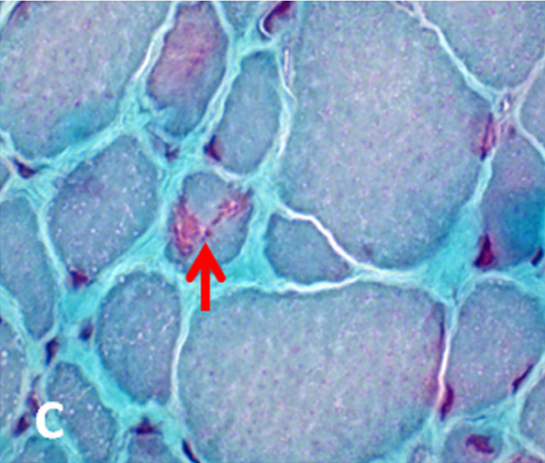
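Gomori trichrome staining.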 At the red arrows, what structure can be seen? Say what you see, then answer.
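Clusters of fine red-purple granules lie inside some fibers at the arrows. The rest of the fiber cytoplasm stains blue-green. That points to this answer: nemaline rods.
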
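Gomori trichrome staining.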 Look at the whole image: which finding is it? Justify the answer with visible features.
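Large rounded fibers lie beside much smaller fibers. Fibers are separated by blue-green connective tissue.
Conclusion: variation in muscle fiber size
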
